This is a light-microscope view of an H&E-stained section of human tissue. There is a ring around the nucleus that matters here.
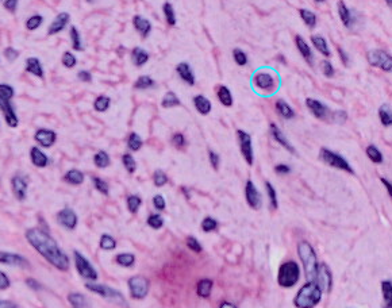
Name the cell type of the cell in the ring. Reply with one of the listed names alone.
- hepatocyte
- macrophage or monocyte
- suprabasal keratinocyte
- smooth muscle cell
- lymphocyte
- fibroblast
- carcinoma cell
smooth muscle cell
